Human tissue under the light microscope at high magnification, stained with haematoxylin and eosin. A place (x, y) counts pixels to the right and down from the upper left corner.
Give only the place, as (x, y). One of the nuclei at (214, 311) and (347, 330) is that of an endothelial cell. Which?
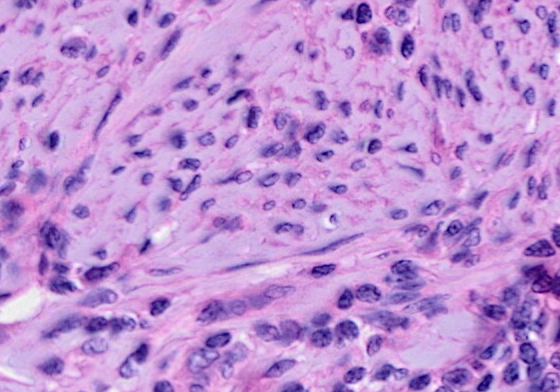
(214, 311)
